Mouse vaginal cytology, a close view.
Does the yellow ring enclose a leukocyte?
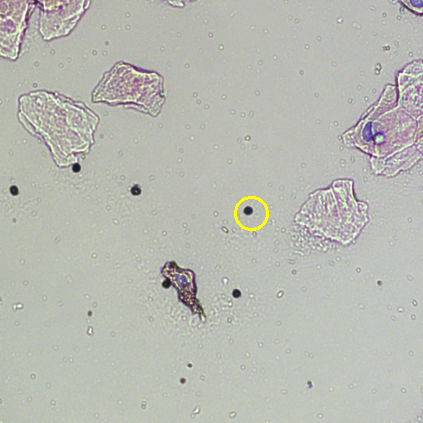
Yes. The ring encloses a leukocyte.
